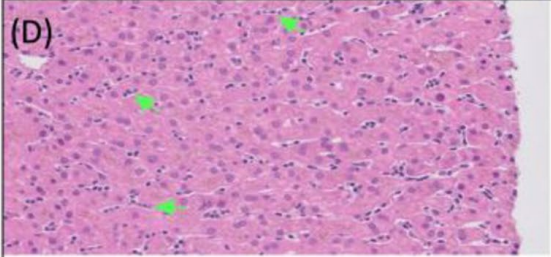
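Liver parenchyma with plates of polygonal hepatocytes having pink cytoplasm and round central nuclei. Within the sinusoids between the plates lie numerous small cells with dark, round nuclei and scant cytoplasm, scattered diffusely through the lobule.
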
